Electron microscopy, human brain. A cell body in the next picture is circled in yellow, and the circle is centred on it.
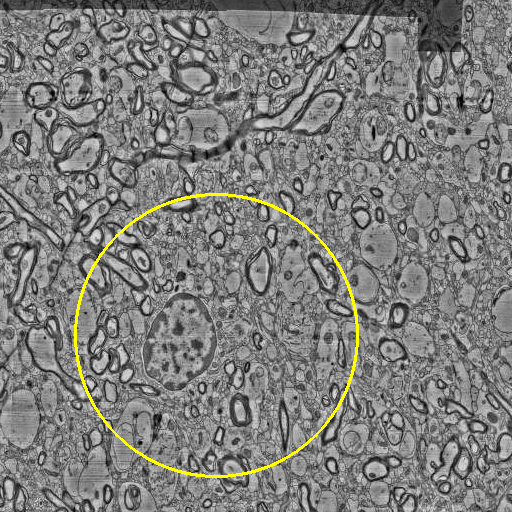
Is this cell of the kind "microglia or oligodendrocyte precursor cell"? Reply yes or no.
yes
